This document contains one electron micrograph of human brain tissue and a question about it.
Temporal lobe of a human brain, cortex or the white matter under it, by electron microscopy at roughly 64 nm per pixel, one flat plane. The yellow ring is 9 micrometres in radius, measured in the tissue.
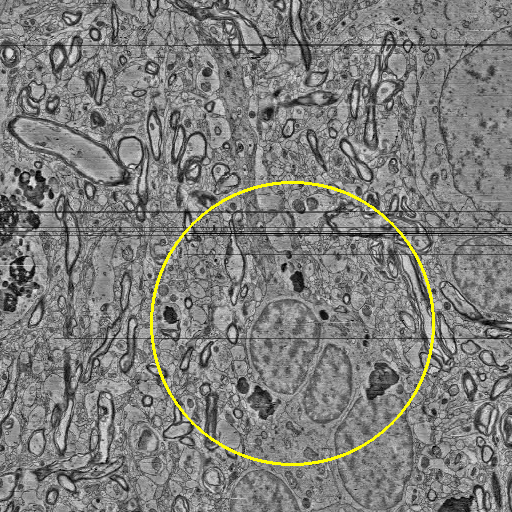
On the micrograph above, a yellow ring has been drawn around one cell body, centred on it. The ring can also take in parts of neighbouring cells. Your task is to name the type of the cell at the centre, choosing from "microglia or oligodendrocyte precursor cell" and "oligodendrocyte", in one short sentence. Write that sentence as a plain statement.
Here the ring is centred on an oligodendrocyte.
